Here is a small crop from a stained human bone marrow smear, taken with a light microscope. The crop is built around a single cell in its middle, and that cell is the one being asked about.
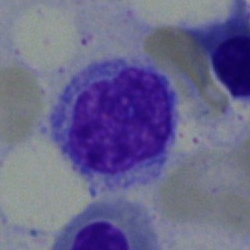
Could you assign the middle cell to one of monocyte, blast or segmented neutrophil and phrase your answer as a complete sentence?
Occupying the centre of the crop is a monocyte.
